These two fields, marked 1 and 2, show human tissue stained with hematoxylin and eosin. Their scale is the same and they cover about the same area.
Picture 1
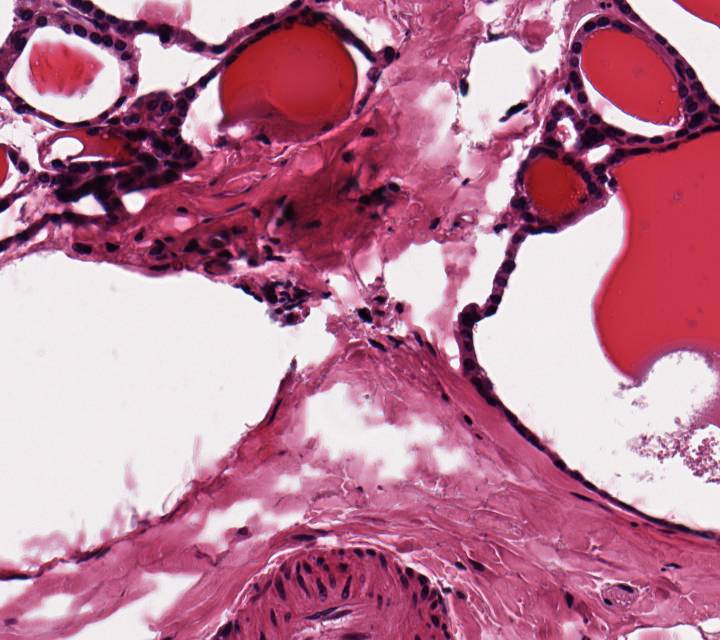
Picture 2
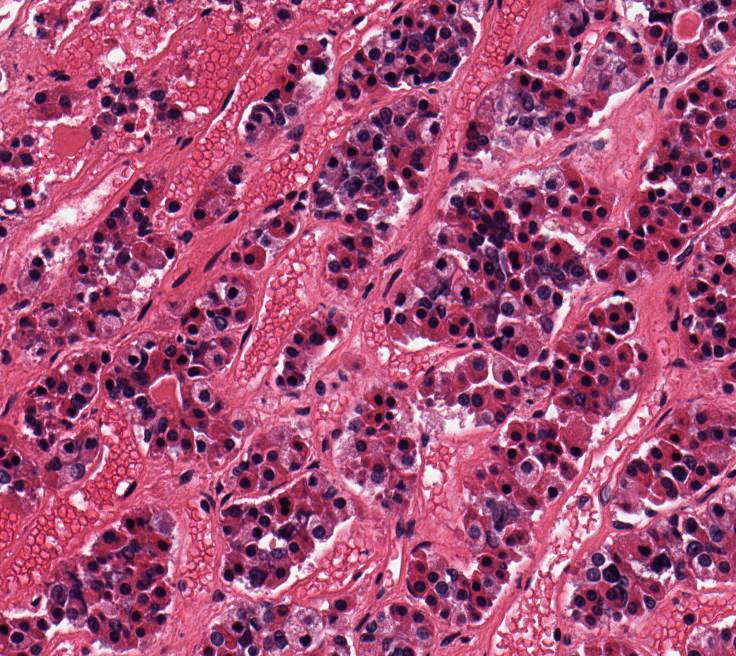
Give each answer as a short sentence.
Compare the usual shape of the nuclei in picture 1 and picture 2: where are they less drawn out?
The nuclei are rounder in picture 2.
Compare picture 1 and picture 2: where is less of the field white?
It is picture 2 that stained tissue fills more completely.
